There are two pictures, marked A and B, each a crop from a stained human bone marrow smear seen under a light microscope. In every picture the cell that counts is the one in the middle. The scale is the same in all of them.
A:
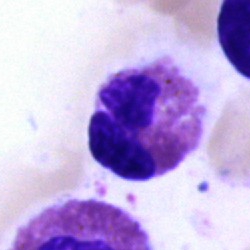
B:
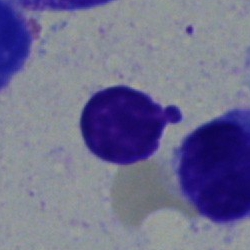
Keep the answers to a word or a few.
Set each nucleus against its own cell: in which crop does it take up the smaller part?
A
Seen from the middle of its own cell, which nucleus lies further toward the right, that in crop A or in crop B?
B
